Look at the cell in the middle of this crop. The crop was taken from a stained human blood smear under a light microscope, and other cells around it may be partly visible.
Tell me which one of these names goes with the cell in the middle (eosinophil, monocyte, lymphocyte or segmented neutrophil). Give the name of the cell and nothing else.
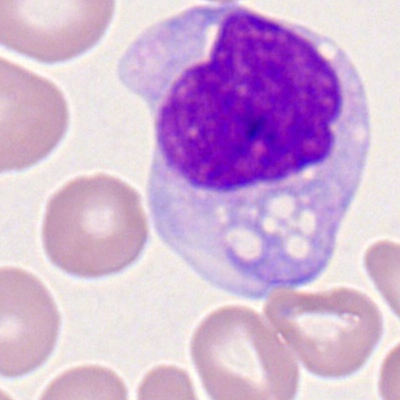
monocyte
